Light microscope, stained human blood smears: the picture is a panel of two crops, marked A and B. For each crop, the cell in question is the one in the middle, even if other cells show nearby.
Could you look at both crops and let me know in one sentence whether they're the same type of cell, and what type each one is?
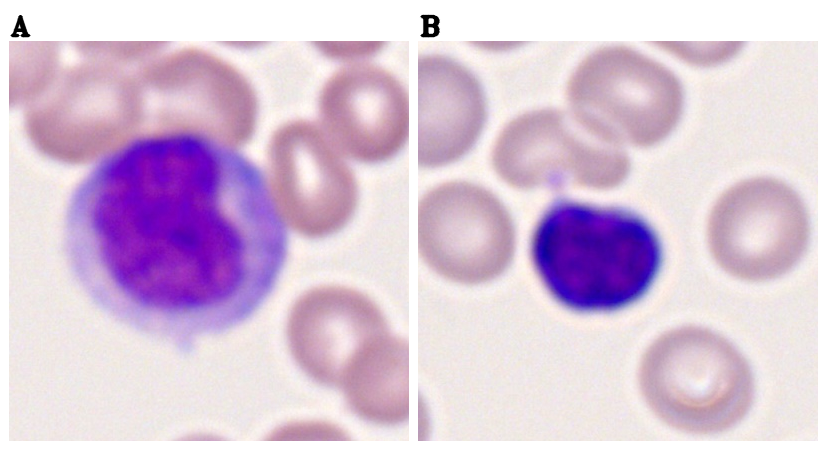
No, crop A carries a monocyte and crop B carries a lymphocyte.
